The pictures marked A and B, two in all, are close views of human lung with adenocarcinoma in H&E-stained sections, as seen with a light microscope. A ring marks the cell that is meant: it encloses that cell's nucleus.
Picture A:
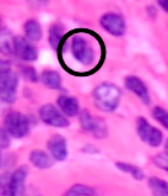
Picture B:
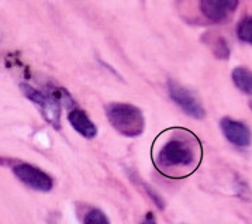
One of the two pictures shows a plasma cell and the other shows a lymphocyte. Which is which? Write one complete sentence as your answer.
Picture A is of a lymphocyte, and picture B is of a plasma cell.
